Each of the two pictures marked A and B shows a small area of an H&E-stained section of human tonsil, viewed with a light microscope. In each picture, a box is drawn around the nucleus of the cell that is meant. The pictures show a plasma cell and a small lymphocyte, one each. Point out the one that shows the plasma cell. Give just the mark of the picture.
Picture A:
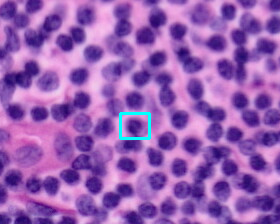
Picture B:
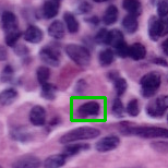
B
